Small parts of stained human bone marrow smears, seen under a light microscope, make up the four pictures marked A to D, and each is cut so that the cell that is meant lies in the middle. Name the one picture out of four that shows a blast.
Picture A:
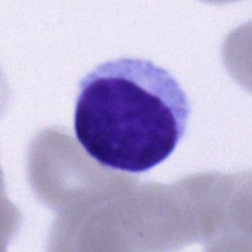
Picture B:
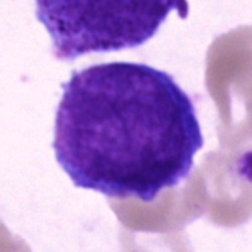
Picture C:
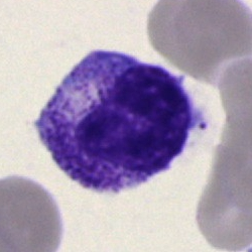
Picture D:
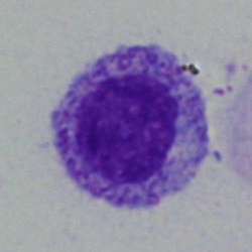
B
